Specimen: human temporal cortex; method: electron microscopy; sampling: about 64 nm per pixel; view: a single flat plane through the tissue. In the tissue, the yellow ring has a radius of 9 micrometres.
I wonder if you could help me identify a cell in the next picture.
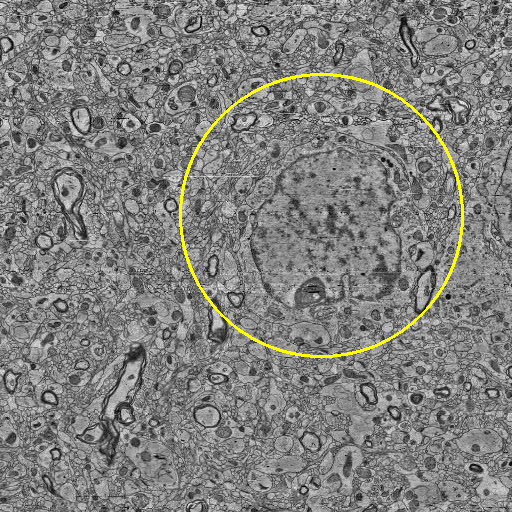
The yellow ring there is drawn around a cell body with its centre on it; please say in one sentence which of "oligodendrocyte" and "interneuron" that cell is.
The yellow ring is centred on an interneuron.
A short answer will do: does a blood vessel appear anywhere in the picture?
No.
